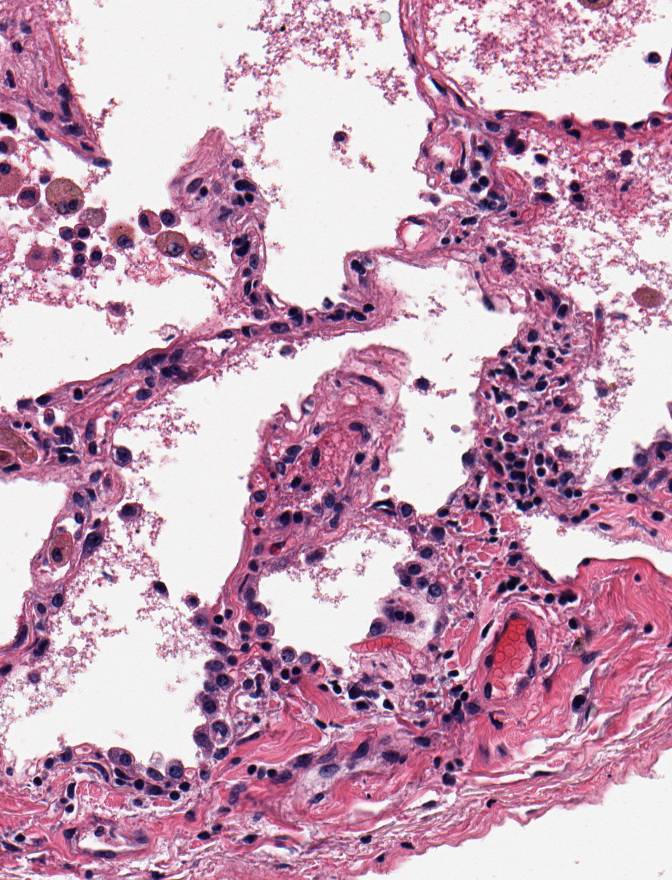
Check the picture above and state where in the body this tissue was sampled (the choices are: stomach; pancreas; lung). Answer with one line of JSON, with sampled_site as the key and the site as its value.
{"sampled_site": "lung"}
